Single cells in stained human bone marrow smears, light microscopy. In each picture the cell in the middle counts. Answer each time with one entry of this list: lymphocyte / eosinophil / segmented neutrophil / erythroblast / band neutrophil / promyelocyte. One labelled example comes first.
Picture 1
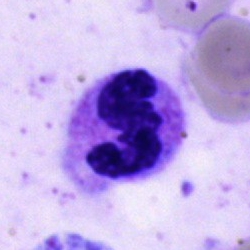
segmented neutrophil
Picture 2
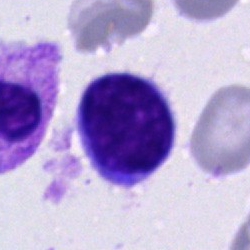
lymphocyte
